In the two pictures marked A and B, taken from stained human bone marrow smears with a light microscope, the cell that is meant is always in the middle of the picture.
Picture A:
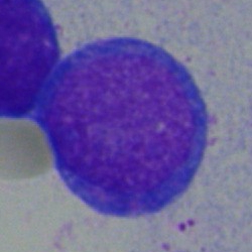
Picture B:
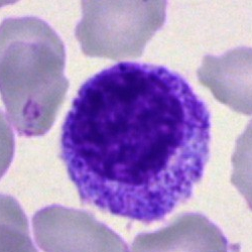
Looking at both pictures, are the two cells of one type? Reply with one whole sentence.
No, the types are not the same, since picture A shows a blast and picture B a myelocyte.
